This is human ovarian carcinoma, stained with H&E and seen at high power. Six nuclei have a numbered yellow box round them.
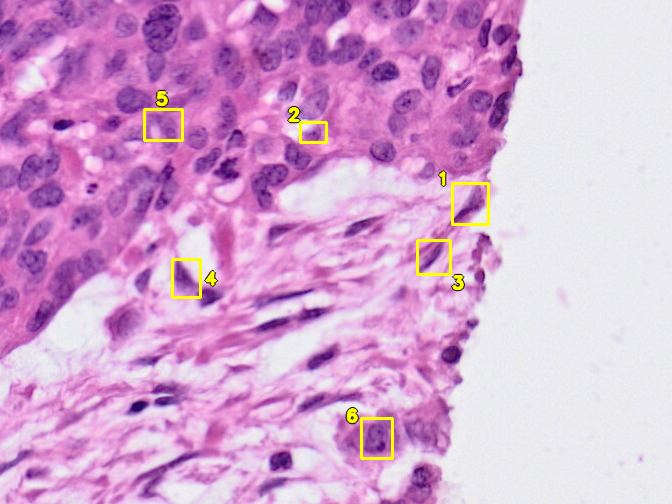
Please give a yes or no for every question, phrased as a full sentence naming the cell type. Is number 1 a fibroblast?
Yes, kindly take note: the cell numbered 1 is a fibroblast.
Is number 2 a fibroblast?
No, the cell at number 2 is a macrophage or monocyte instead of a fibroblast.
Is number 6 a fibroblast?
No, cell 6 is a macrophage or monocyte and should not be called a fibroblast.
